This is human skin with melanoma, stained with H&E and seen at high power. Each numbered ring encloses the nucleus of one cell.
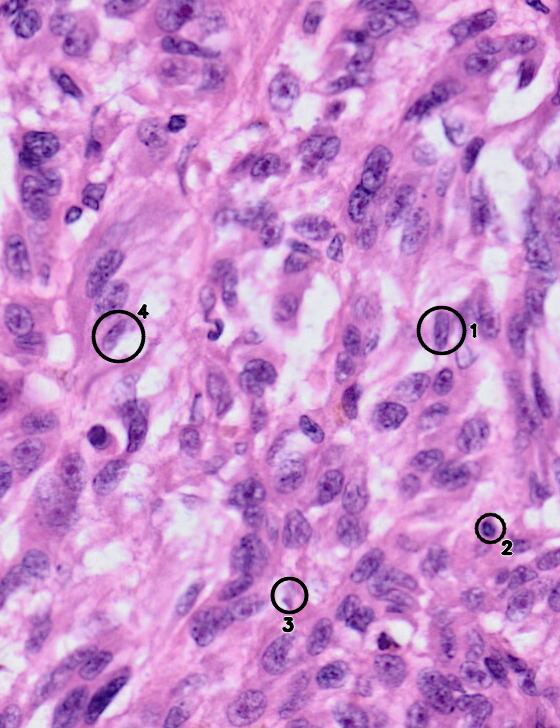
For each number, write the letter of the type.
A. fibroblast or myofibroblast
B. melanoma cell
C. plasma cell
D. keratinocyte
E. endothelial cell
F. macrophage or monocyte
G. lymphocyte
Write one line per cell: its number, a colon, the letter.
1: B
2: G
3: B
4: B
